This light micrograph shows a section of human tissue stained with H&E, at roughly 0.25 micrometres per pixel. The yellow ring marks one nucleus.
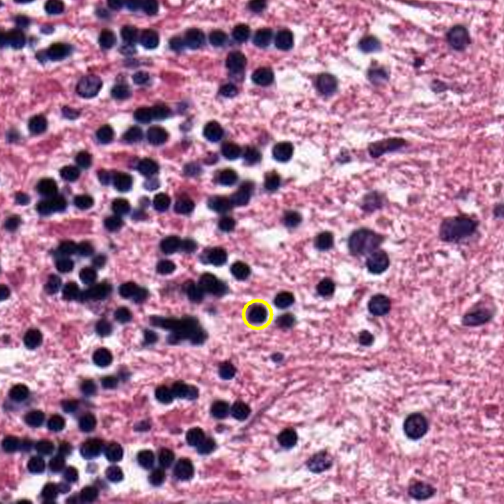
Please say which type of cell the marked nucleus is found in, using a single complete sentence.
In this picture it is a cerebellar granule cell whose nucleus is marked.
